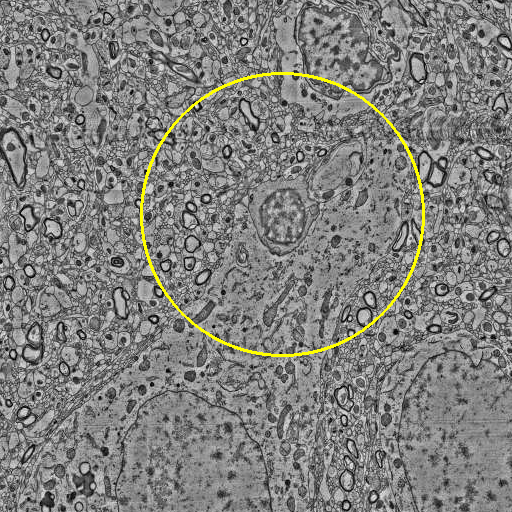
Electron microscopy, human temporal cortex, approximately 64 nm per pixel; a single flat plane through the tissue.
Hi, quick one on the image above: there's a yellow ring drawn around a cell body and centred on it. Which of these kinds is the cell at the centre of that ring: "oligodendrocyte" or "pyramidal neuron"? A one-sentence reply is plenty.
The cell at the centre of the ring is an oligodendrocyte.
